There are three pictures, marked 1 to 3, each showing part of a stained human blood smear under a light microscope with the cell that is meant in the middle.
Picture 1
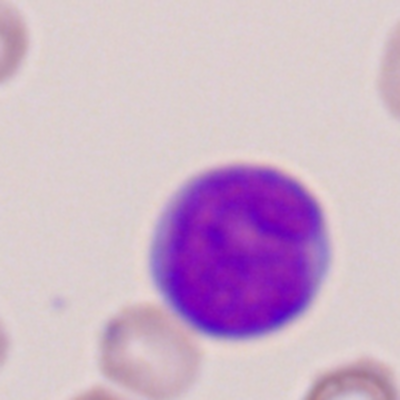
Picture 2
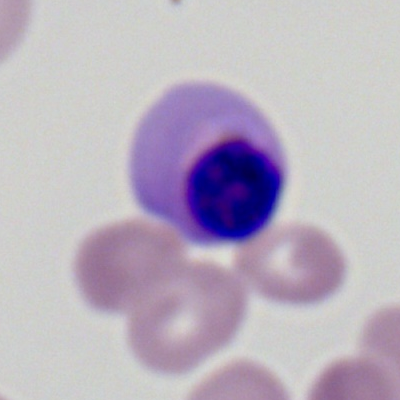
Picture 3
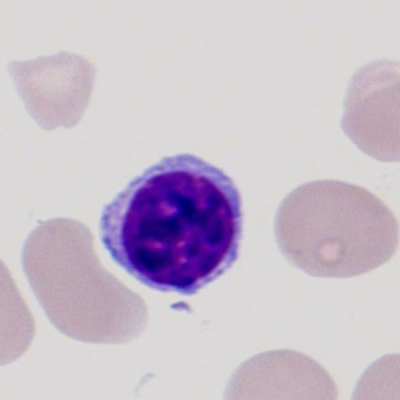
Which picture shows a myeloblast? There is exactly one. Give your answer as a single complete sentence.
The picture with the myeloblast is 1.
